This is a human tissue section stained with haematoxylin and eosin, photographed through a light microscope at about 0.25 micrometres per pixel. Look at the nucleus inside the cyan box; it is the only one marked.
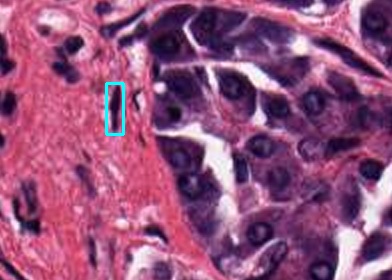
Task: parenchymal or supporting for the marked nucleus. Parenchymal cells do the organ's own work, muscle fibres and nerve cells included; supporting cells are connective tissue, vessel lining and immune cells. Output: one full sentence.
Housed within a supporting cell is the marked nucleus.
